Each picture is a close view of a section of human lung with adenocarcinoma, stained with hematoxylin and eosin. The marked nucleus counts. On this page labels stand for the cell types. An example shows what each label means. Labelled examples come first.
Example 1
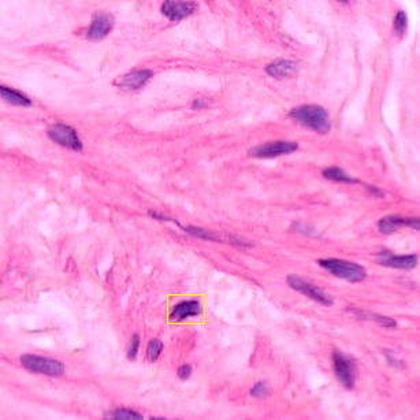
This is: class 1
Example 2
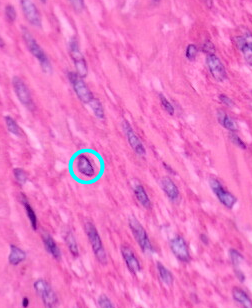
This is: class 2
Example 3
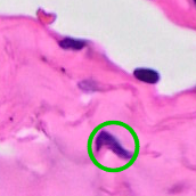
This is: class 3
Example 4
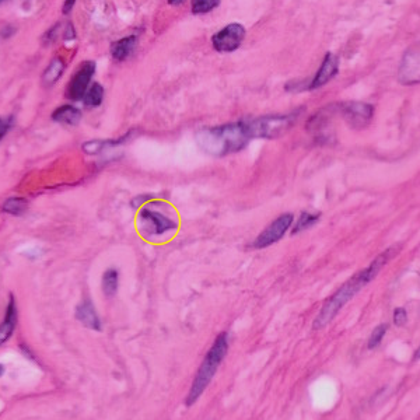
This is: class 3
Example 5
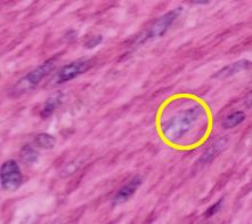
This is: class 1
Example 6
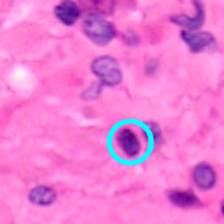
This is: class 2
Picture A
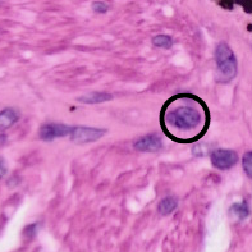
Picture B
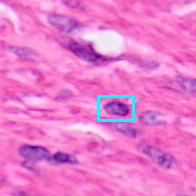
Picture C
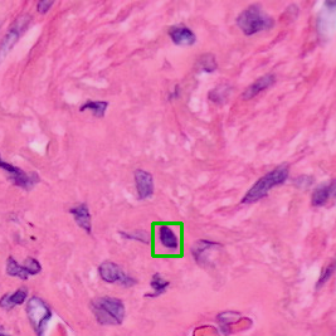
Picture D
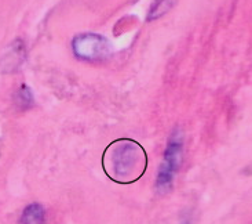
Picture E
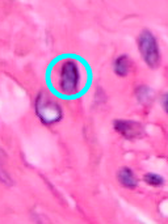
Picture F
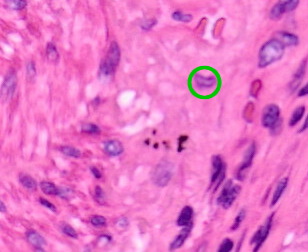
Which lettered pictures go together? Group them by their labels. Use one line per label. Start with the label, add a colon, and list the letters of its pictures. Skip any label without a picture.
class 2: A, B, C, E
class 3: D, F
